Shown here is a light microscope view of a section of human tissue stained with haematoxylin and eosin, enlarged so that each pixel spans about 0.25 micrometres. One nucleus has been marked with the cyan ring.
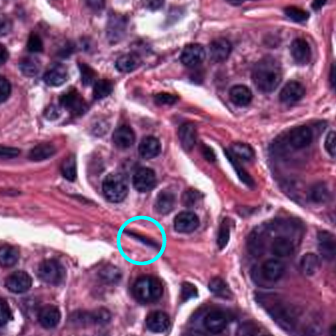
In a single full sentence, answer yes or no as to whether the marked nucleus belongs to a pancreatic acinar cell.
No, the marked nucleus has its place in a supporting cell rather than in a pancreatic acinar cell.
